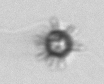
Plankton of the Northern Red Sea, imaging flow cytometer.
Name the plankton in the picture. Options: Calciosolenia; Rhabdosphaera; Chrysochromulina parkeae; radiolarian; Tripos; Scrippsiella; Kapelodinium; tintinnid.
Rhabdosphaera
